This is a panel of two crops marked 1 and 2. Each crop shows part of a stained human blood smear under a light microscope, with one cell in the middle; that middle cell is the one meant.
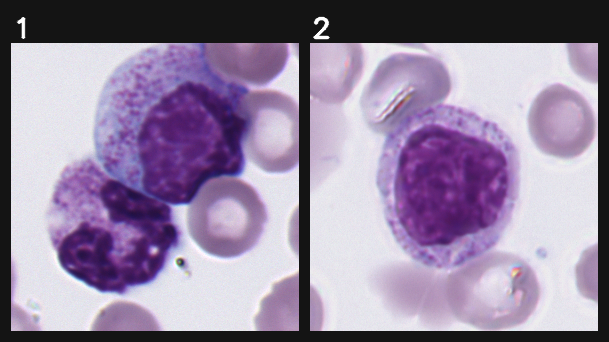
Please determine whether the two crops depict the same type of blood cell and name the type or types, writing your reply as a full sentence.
Yes, both crops are centred on myelocytes.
